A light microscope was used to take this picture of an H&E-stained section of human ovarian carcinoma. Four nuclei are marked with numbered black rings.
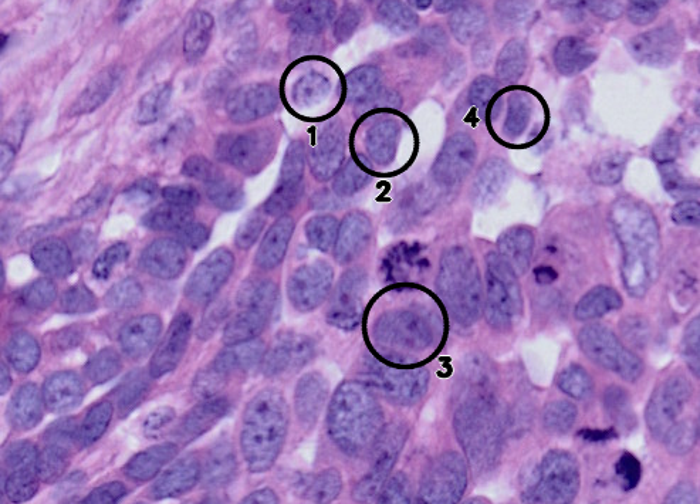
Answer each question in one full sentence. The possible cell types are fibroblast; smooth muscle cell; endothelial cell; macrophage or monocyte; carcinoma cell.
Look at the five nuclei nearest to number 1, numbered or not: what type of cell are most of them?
The majority of the five nuclei closest to number 1 belong to carcinoma cells.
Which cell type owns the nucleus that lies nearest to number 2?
It is a carcinoma cell whose nucleus is nearest to number 2.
